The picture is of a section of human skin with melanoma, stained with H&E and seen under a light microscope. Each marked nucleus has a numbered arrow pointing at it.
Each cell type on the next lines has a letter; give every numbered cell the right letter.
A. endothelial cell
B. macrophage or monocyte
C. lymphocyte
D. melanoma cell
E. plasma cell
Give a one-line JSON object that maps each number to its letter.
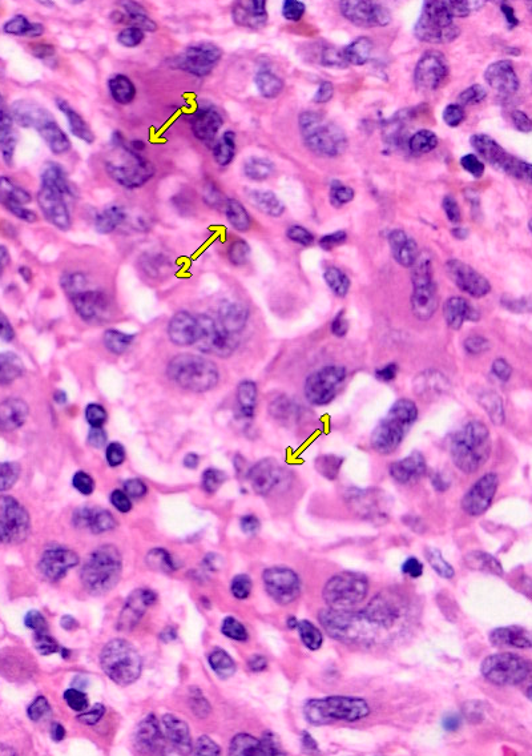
{"1": "D", "2": "B", "3": "D"}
